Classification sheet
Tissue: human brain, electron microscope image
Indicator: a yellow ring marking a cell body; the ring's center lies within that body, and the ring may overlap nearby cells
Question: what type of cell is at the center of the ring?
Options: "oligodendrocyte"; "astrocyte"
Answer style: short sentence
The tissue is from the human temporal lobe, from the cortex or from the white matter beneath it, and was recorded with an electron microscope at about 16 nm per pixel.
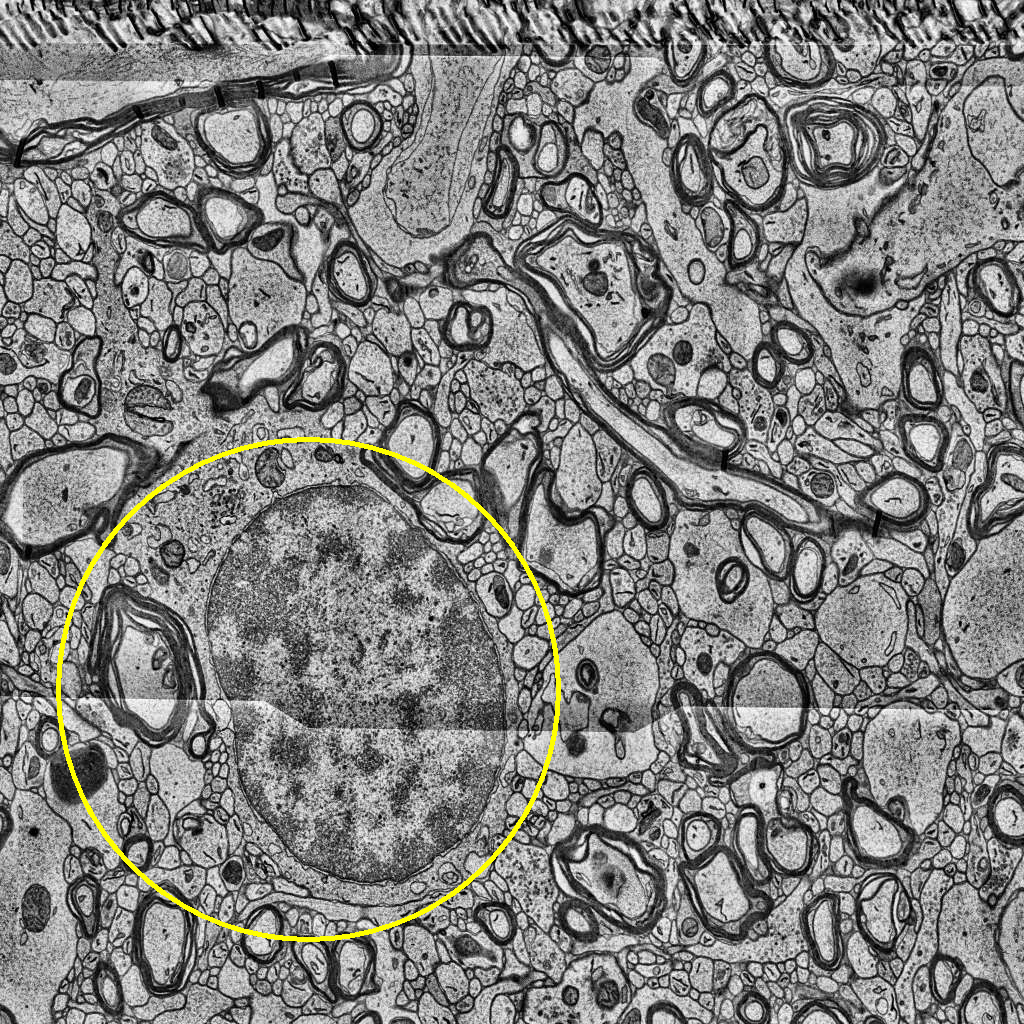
At the ring's center is an oligodendrocyte.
